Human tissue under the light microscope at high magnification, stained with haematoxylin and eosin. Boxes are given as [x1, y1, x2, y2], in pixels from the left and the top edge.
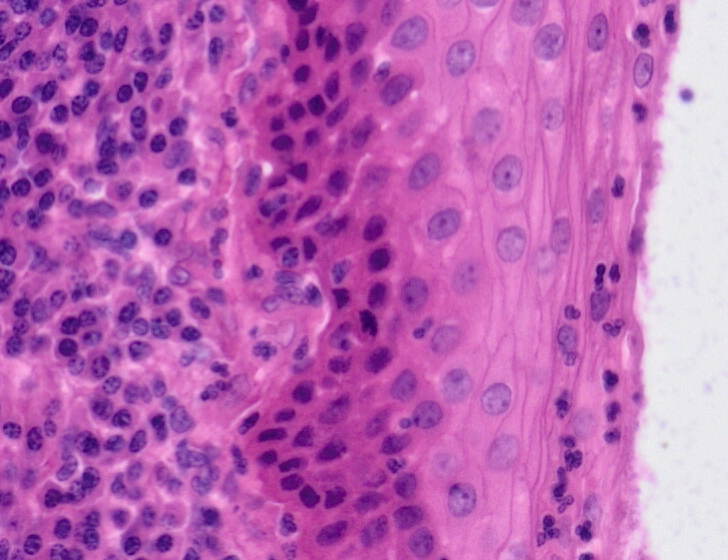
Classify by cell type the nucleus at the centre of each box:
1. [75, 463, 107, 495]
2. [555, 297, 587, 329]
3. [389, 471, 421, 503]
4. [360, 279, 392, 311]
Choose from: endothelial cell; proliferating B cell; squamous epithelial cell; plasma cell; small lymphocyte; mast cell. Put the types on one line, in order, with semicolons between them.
plasma cell; squamous epithelial cell; squamous epithelial cell; squamous epithelial cell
